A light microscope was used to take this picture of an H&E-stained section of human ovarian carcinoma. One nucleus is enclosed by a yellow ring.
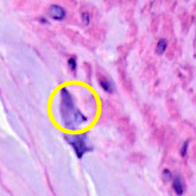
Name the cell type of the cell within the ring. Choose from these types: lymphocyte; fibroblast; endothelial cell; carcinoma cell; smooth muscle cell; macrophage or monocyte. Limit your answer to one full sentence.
In cellular terms, the cell within the ring is a fibroblast.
